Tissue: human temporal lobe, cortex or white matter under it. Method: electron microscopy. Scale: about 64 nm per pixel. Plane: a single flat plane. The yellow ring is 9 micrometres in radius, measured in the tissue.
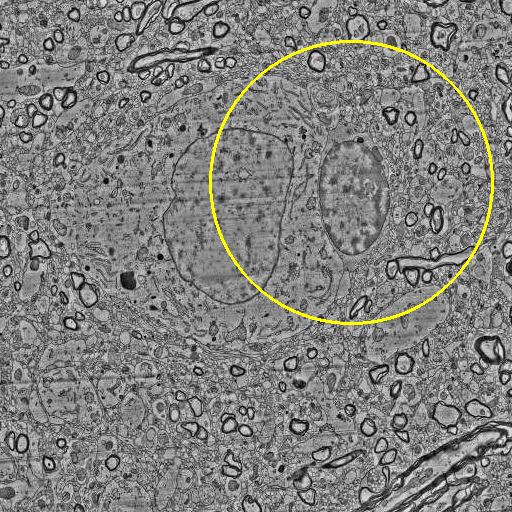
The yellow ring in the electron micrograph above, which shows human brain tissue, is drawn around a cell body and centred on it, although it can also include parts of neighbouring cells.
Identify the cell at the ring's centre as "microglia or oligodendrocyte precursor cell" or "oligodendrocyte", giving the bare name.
oligodendrocyte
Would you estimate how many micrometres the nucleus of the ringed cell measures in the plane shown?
The nucleus has a long axis of about 7 micrometres and a short axis of about 5 micrometres in this plane.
